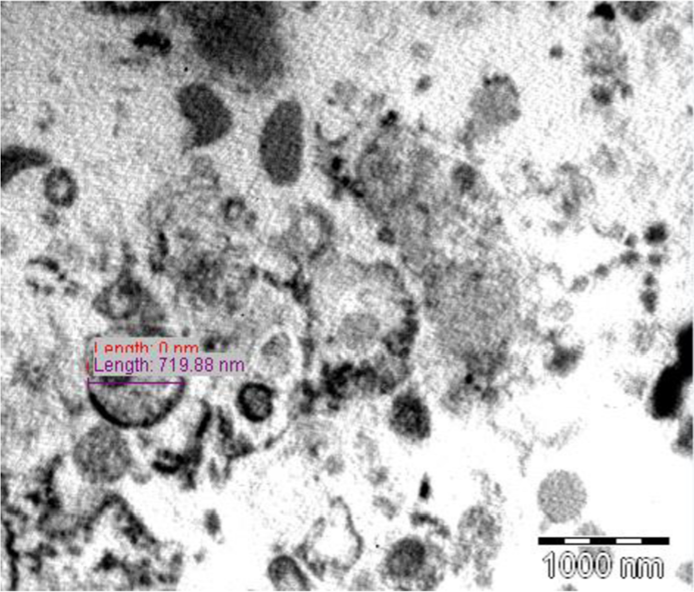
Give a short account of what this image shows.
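The vesicles are round to oval profiles of widely varying size, with many a few hundred nanometres across. The largest approach the length of the one-micrometre scale bar. Some are bounded by a distinct dark rim and have a paler interior. Others are filled with a fine grey granular content, and a few are uniformly dense and dark. The vesicles lie close together and partly overlap, among irregular dark flocculent debris, against a pale, finely grainy background.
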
